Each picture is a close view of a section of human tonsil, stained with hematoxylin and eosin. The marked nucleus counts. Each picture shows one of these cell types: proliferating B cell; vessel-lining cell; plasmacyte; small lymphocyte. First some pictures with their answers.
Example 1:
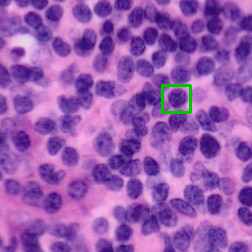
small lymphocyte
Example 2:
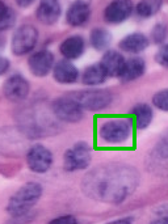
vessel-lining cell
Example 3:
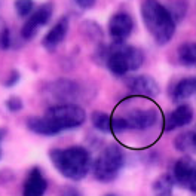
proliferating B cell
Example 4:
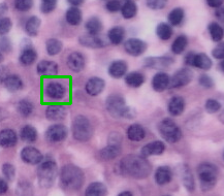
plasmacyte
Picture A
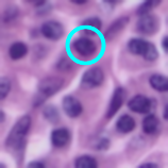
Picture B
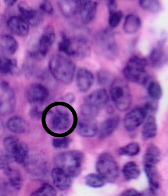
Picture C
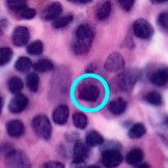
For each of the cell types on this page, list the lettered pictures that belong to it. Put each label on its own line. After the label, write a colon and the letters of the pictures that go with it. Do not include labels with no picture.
proliferating B cell: B
vessel-lining cell: C
plasmacyte: A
